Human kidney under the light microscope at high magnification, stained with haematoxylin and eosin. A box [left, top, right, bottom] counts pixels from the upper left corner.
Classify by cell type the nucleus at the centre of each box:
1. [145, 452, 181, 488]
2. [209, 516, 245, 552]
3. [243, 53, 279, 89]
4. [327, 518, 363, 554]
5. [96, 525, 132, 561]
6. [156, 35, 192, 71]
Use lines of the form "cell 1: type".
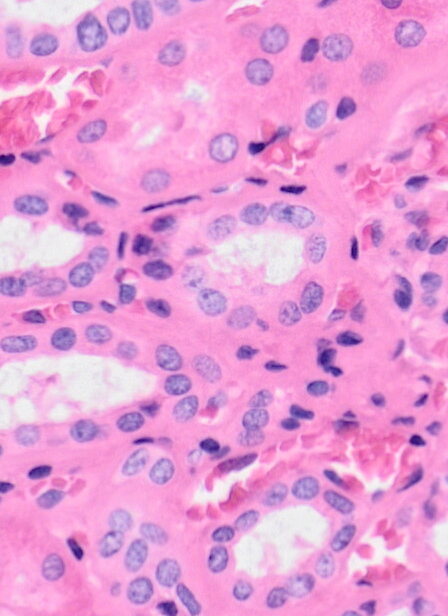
cell 1: collecting duct cell
cell 2: collecting duct cell
cell 3: proximal tubule cell
cell 4: collecting duct cell
cell 5: collecting duct cell
cell 6: proximal tubule cell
